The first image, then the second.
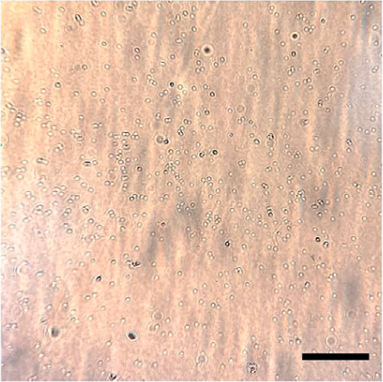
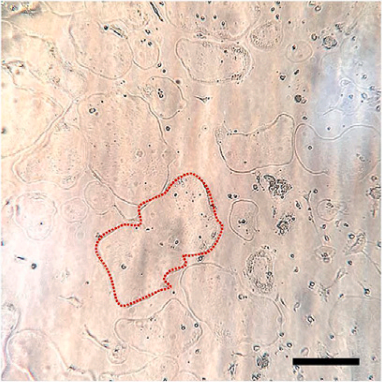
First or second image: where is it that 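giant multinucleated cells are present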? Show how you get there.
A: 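First image: only small, round, evenly scattered cells are seen. Second image: many very large flat cells with irregular outlines cover the field. On this evidence: the second image.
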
